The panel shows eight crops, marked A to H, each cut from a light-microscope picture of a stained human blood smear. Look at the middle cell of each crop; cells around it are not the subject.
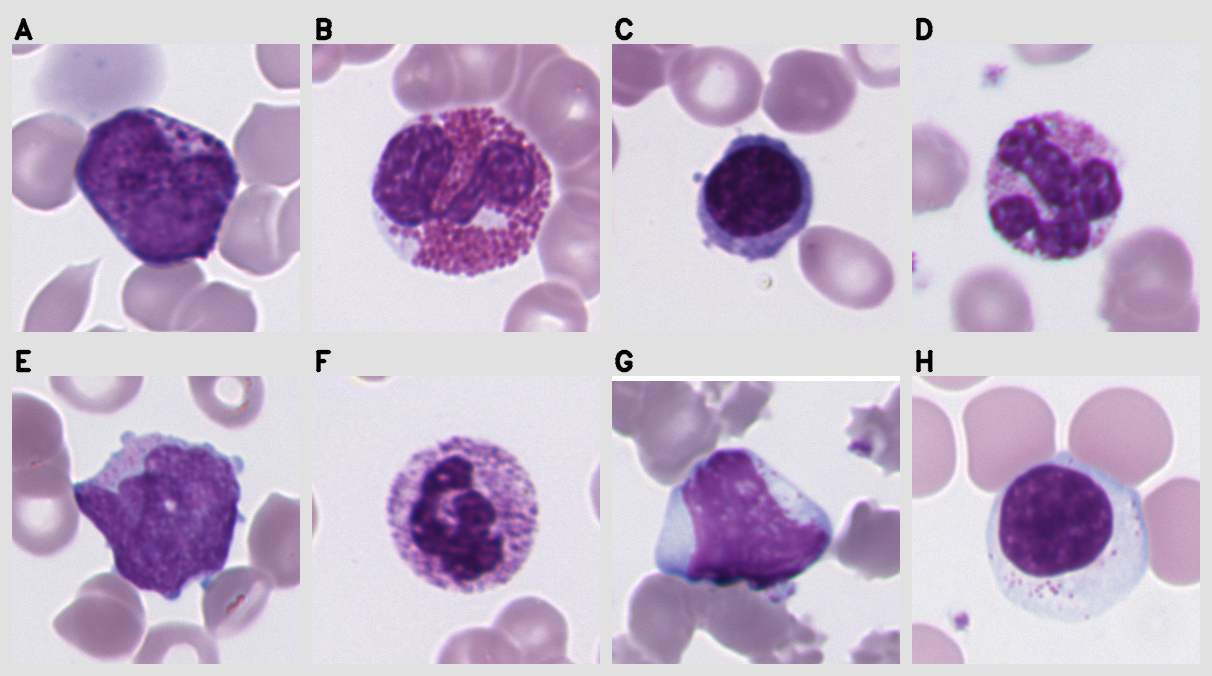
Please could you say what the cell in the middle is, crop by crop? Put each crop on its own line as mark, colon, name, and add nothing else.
A: basophil
B: eosinophil
C: normoblast
D: segmented neutrophil
E: atypical promyelocyte
F: segmented neutrophil
G: large granular lymphocyte
H: large granular lymphocyte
